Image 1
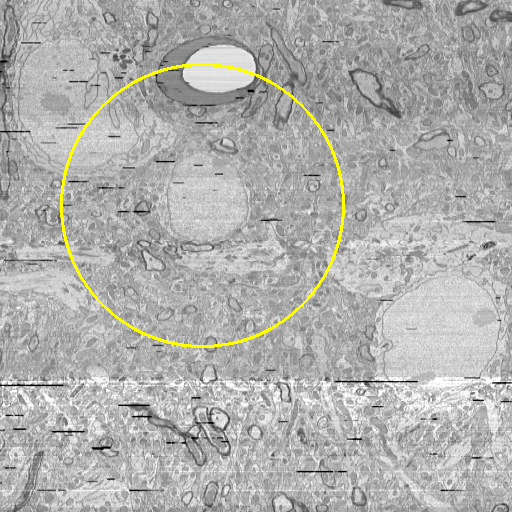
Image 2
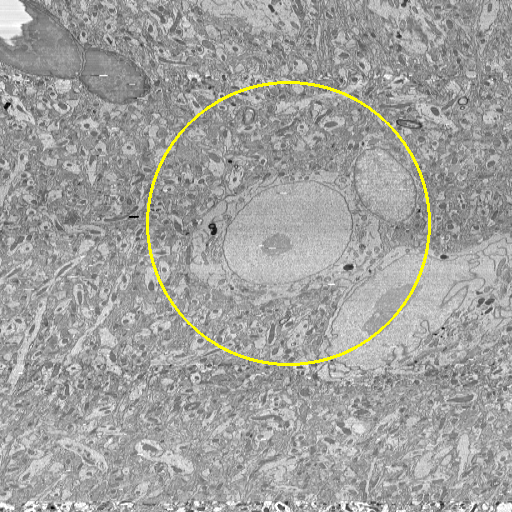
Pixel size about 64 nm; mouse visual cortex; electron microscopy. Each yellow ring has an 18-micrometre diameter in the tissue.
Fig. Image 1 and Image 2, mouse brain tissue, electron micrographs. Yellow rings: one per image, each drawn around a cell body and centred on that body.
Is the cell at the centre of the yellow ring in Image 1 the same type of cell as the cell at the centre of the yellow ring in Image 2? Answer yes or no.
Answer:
no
